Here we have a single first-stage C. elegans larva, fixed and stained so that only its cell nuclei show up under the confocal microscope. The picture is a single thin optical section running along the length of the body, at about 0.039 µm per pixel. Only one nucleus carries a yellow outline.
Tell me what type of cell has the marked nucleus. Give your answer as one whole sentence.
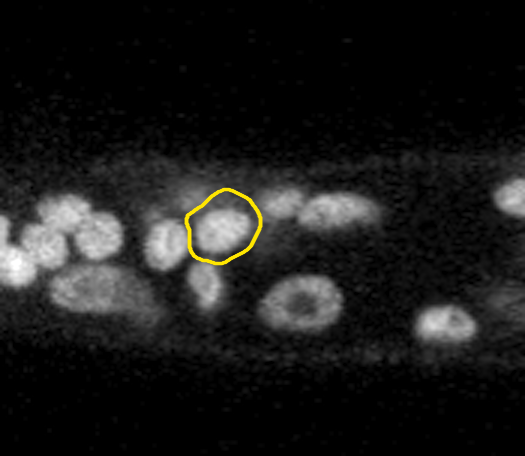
The marked nucleus belongs to an enteric muscle cell.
